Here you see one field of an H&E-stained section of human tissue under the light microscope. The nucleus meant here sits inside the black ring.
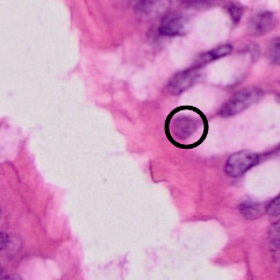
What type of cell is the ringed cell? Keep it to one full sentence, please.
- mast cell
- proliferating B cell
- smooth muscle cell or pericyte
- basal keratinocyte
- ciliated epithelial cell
Within the stained tissue, the ringed cell is a ciliated epithelial cell.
